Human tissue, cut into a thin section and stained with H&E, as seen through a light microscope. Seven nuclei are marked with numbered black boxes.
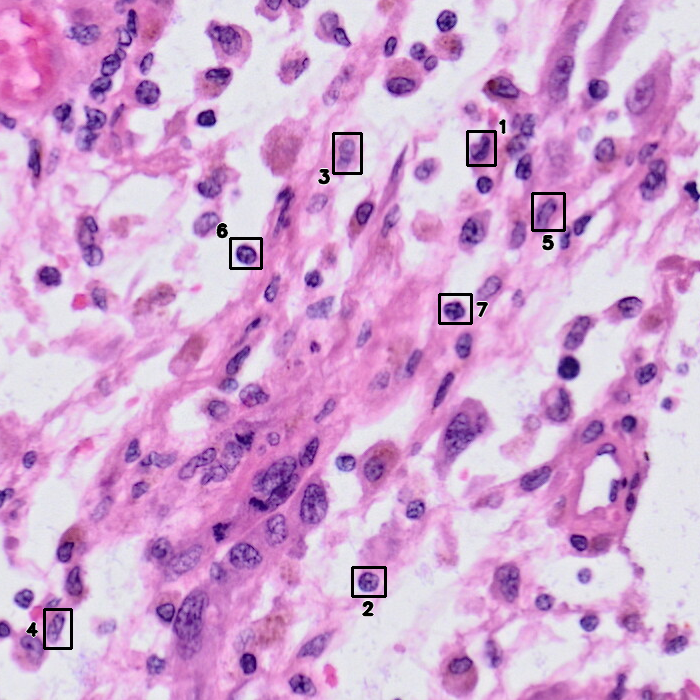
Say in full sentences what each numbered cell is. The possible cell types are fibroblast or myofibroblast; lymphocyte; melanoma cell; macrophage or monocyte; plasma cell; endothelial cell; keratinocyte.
Cell 1 is a macrophage or monocyte, cell 2 is a lymphocyte, cell 3 is a macrophage or monocyte, cell 4 is a macrophage or monocyte, cell 5 is a macrophage or monocyte, cell 6 is a lymphocyte and cell 7 is a lymphocyte.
